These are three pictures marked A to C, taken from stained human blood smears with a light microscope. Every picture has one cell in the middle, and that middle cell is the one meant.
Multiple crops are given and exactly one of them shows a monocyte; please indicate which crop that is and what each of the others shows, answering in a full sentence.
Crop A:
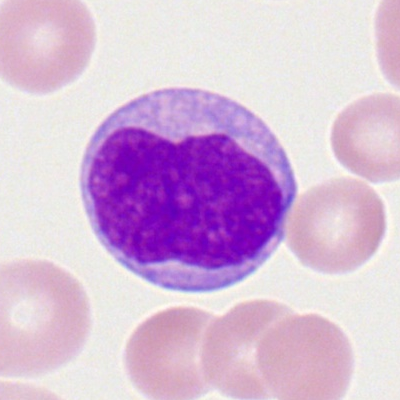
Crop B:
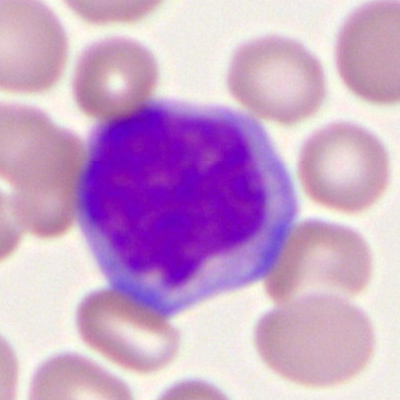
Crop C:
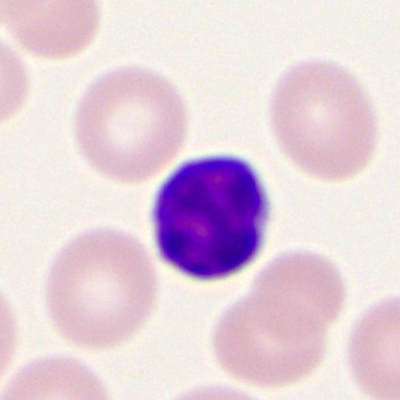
Identified in crop A is a monocyte, whereas crop B is a myeloblast and crop C is a lymphocyte.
